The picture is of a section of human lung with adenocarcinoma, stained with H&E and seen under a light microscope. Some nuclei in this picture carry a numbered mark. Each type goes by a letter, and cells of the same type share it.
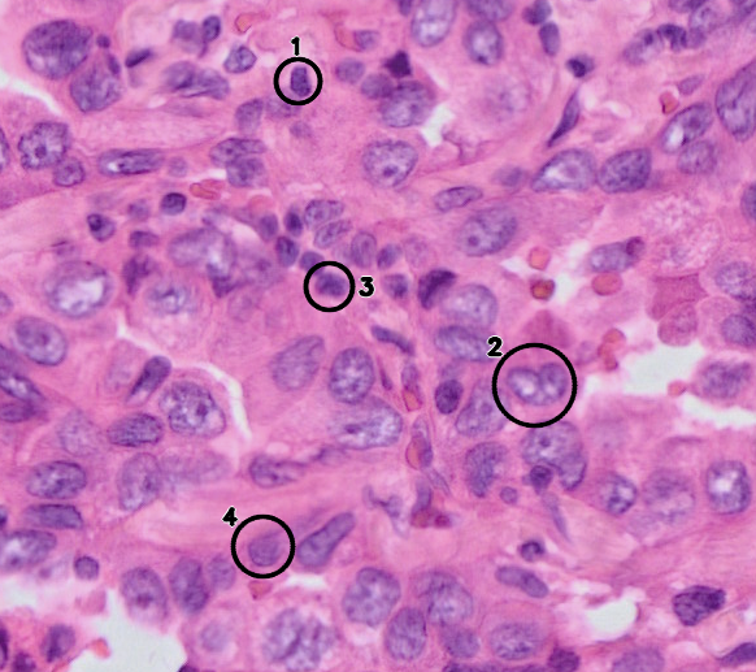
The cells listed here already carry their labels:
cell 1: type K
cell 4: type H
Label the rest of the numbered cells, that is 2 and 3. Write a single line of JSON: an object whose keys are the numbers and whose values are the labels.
{"2": "type H", "3": "type K"}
